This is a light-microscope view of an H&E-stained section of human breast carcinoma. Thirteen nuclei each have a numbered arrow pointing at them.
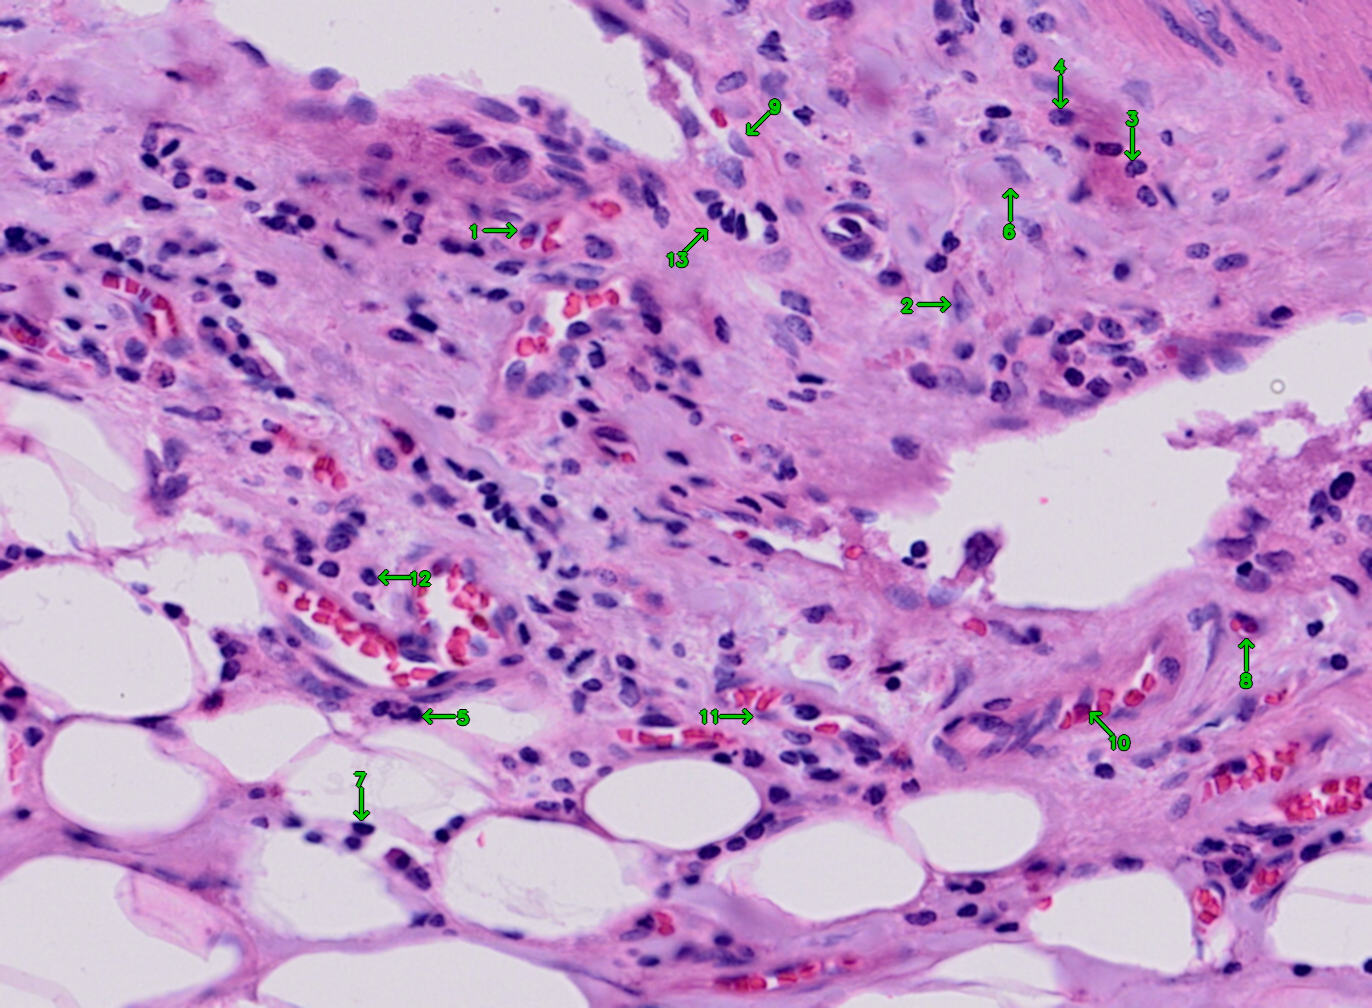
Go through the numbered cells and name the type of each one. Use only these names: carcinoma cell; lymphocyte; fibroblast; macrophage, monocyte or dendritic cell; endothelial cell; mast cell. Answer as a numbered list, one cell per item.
1. endothelial cell
2. fibroblast
3. mast cell
4. mast cell
5. lymphocyte
6. fibroblast
7. lymphocyte
8. endothelial cell
9. endothelial cell
10. endothelial cell
11. endothelial cell
12. lymphocyte
13. lymphocyte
